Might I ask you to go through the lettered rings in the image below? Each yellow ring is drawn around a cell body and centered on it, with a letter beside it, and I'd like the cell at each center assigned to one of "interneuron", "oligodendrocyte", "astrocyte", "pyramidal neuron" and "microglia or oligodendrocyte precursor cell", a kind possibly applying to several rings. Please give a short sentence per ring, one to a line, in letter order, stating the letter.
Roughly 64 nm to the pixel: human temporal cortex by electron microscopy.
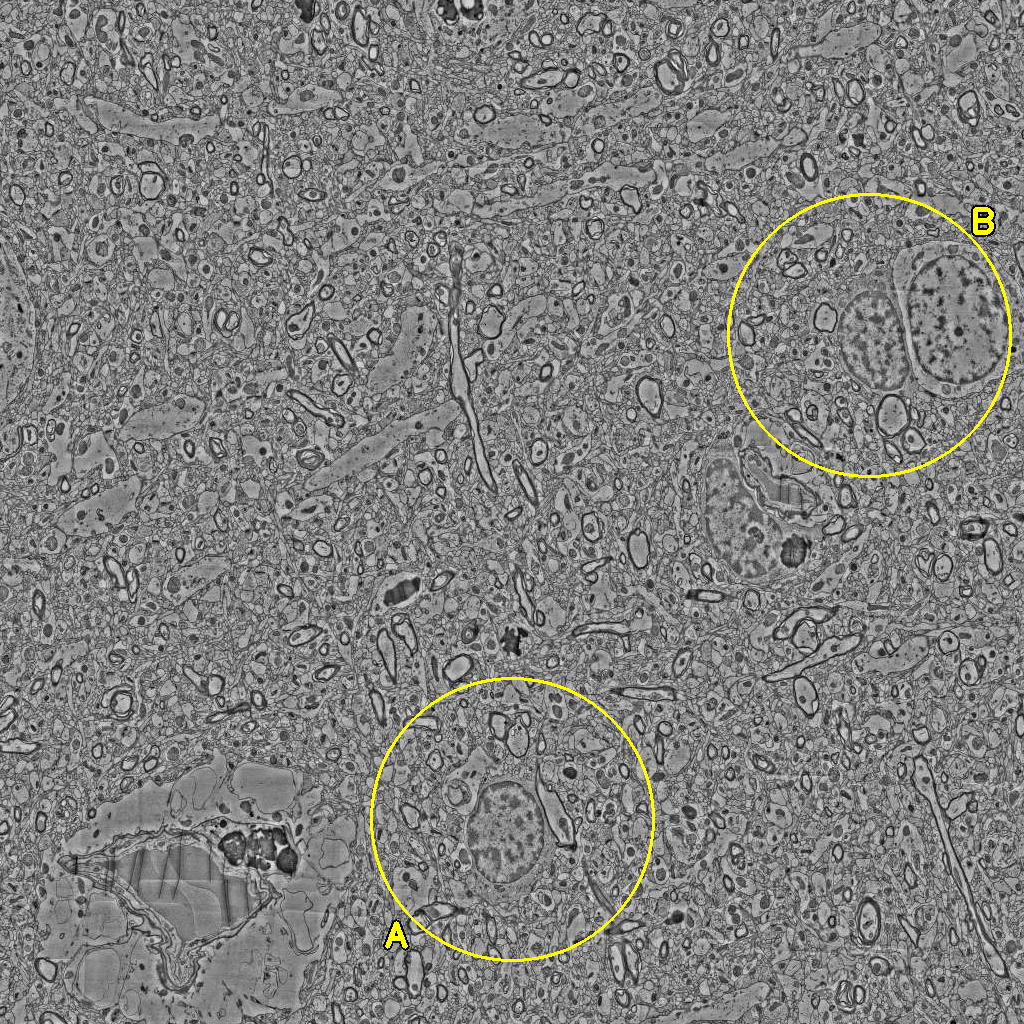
Ring A is centered on the body of an oligodendrocyte.
Ring B is centered on the body of an oligodendrocyte.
